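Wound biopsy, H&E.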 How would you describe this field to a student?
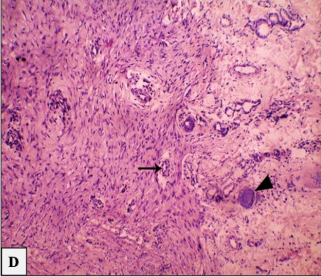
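A fibrous dermal tissue is seen, with many elongated spindle-shaped nuclei lying in pale pink wavy bundles of fibres running across the field. Scattered through it are small rounded lumens ringed by cells, which are blood vessels. A compact, round, darker purple cluster of cells stands apart in the lower right, resembling forming hair follicle epithelium. The overall picture is of healing dermis with organised collagen and vessels.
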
